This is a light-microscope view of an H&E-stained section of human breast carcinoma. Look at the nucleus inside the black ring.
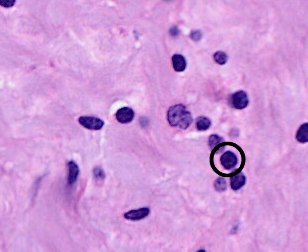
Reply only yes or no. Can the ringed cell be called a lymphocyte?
yes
